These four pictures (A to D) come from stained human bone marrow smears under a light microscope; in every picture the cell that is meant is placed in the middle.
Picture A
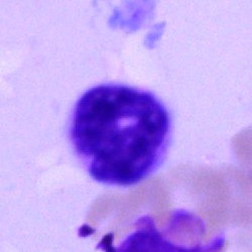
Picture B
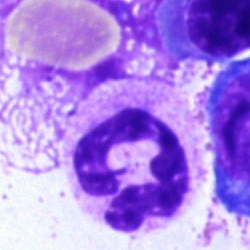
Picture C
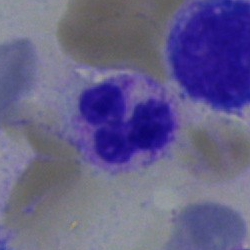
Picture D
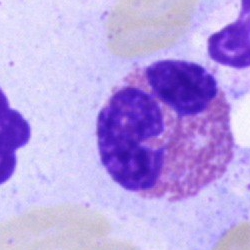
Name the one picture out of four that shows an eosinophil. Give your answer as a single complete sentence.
It is picture D that shows the eosinophil.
